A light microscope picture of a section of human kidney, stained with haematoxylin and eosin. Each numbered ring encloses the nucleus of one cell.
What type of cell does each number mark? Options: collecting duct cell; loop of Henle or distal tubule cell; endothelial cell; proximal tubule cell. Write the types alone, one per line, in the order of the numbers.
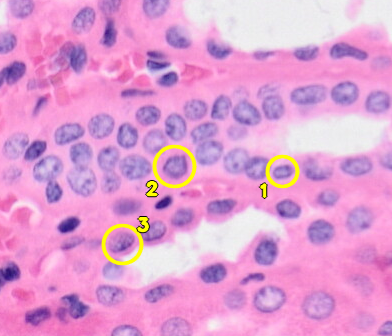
collecting duct cell
collecting duct cell
loop of Henle or distal tubule cell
